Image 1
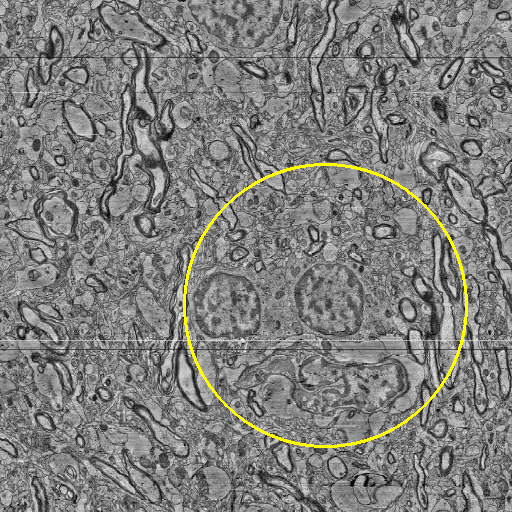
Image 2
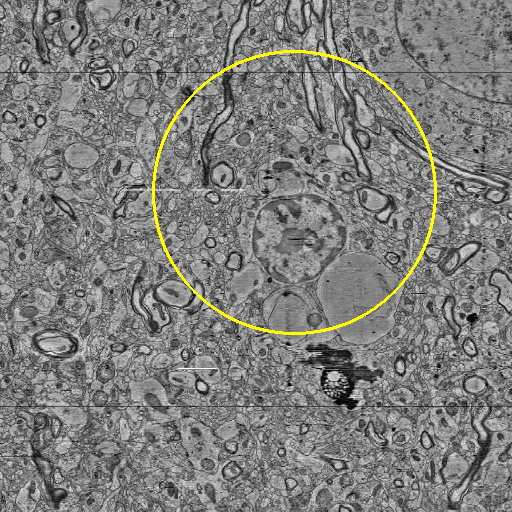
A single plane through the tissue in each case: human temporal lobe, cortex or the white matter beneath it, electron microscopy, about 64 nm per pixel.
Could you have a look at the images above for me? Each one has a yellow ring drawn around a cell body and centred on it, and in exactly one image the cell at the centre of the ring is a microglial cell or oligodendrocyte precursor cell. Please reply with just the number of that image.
2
